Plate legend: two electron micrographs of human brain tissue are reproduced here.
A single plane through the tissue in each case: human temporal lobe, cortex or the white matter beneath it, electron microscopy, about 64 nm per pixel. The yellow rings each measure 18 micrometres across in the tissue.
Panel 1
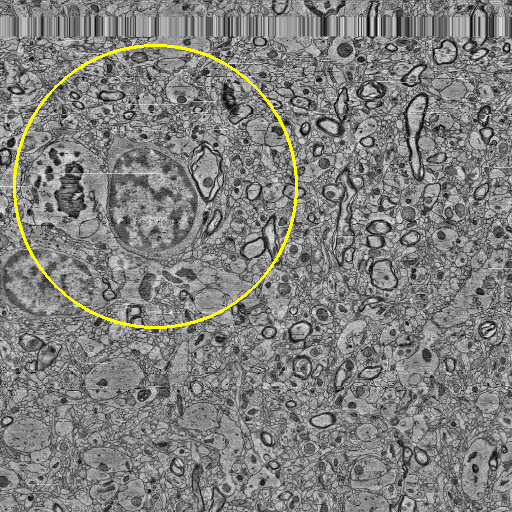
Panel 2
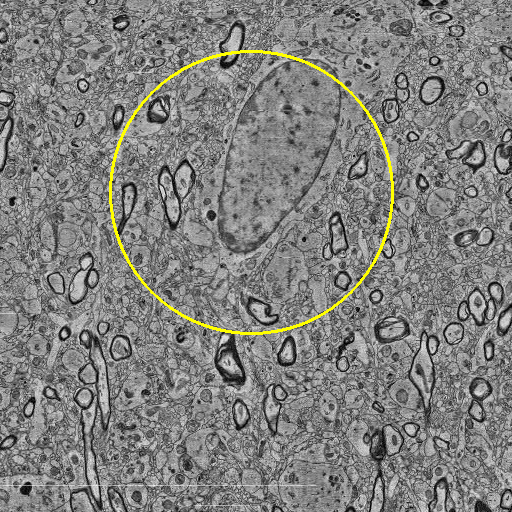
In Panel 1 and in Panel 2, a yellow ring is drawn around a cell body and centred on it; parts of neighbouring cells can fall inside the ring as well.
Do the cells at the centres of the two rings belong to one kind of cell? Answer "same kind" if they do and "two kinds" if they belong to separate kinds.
two kinds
